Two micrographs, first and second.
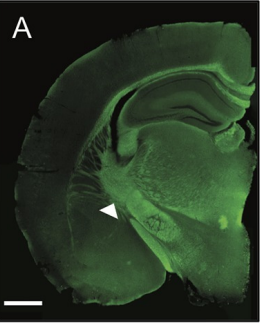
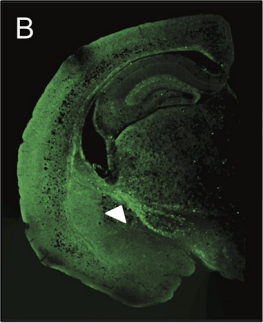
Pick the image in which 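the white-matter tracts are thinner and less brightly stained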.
The second image.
